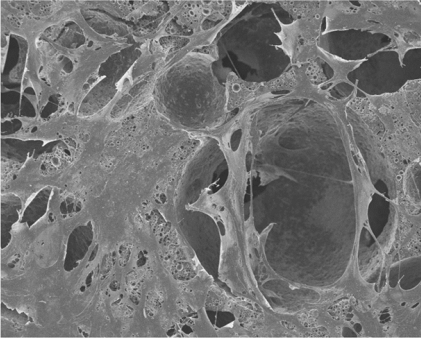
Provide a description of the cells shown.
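The cells are flattened into thin sheets and stretched strands that bridge across the openings of the pores and cling to their rims. Between the cells the scaffold surface is riddled with many small holes, and in places deep dark cavities show where the pores open downward. No nuclei can be made out from above, only the smooth, membrane-like cell bodies and their long drawn-out extensions.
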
